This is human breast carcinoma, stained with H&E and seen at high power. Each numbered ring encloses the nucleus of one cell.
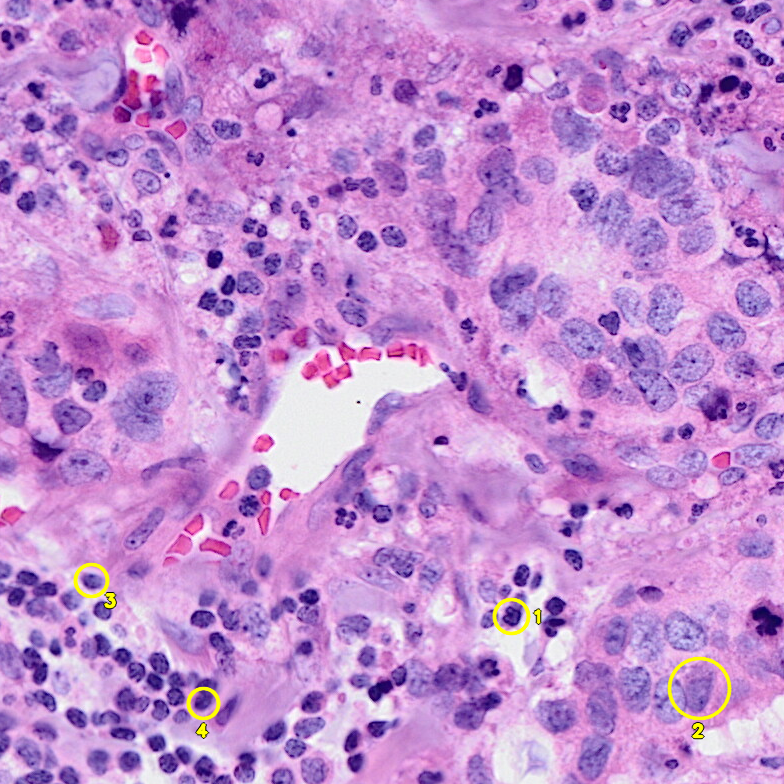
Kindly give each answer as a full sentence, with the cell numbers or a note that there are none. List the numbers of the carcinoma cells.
Among the numbered nuclei, only the one labelled 2 belongs to a carcinoma cell.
